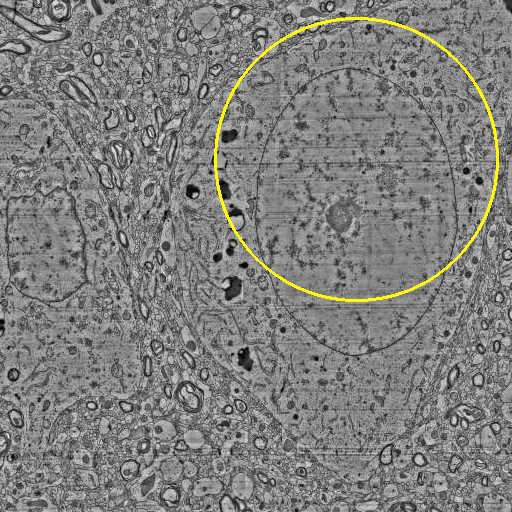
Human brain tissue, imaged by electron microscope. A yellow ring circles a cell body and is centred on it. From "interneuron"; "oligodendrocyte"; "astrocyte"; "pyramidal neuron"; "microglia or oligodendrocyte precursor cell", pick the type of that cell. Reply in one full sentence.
The cell body at the centre of the yellow ring belongs to a pyramidal neuron.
